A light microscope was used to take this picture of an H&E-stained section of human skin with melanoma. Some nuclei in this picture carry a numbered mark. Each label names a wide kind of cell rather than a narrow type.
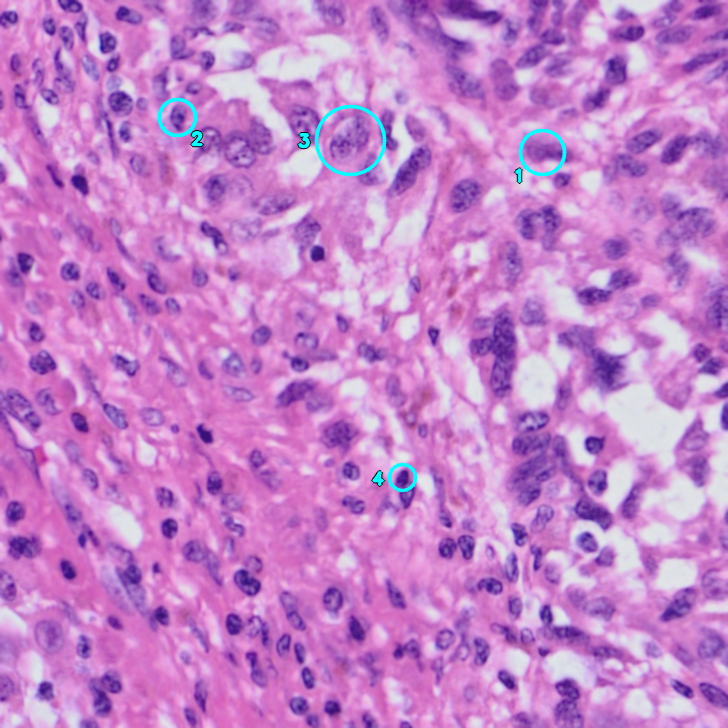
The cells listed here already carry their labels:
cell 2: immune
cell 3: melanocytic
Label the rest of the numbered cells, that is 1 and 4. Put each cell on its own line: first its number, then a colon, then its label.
1: melanocytic
4: immune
